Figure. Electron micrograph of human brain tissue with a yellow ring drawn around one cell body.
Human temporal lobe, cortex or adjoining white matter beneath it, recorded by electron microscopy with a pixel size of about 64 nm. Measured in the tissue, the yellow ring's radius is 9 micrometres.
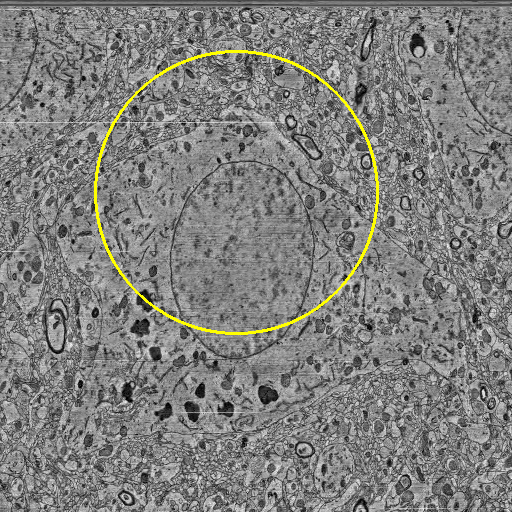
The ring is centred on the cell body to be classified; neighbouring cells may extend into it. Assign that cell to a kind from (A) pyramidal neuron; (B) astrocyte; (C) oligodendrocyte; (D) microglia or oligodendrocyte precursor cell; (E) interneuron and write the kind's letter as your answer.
A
